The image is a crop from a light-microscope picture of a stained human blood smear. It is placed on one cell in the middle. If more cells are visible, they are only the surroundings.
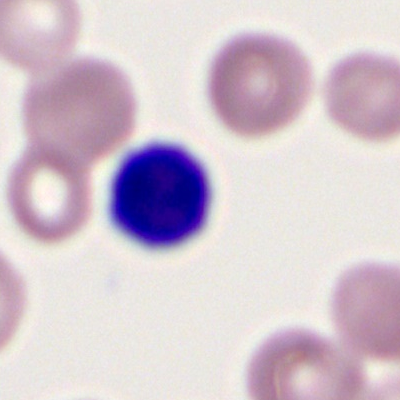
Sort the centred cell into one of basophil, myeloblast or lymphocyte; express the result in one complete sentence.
Here the cell in the middle is a lymphocyte.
